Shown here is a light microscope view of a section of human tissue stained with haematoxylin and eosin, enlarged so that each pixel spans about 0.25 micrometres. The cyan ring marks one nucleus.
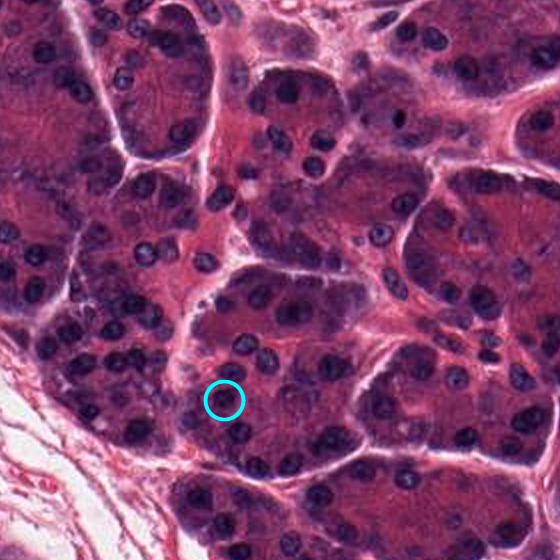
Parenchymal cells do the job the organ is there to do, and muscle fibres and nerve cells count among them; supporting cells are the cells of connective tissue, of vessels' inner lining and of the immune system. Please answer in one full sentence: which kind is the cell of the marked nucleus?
The cell bearing the marked nucleus is a parenchymal cell, namely a pancreatic acinar cell.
